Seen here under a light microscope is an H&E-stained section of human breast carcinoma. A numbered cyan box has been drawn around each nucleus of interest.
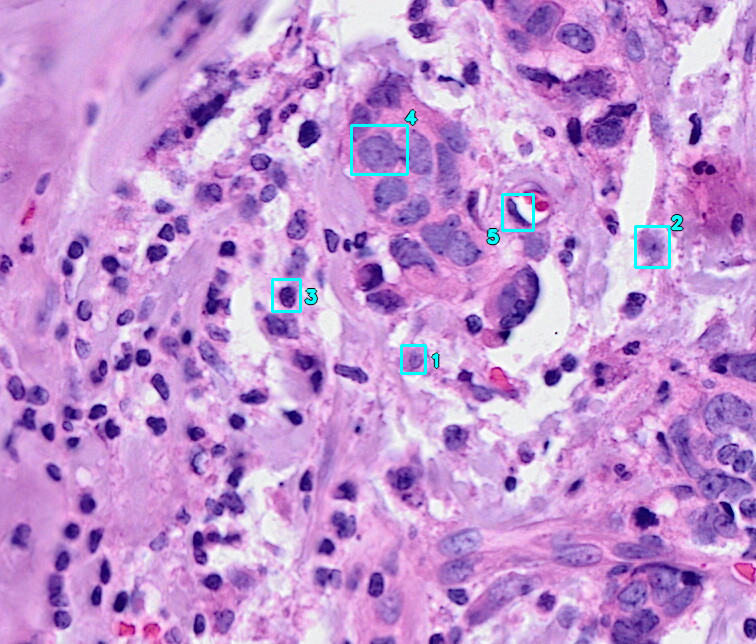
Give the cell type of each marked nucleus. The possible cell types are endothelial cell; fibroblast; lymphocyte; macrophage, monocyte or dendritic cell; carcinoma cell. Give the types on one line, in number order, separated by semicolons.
macrophage, monocyte or dendritic cell; fibroblast; lymphocyte; carcinoma cell; endothelial cell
